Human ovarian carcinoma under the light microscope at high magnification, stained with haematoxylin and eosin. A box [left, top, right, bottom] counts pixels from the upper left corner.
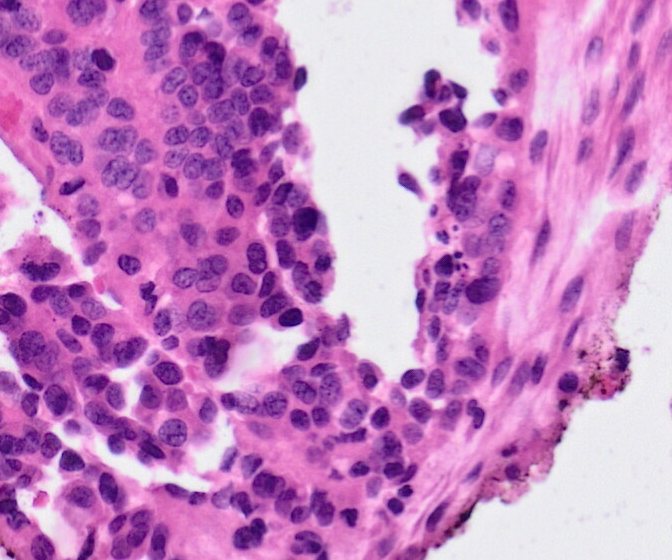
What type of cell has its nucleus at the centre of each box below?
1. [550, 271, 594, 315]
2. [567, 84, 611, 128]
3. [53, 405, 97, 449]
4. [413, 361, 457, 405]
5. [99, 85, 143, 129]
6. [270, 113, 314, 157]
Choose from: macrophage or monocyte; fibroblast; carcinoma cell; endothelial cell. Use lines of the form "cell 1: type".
cell 1: fibroblast
cell 2: fibroblast
cell 3: carcinoma cell
cell 4: carcinoma cell
cell 5: carcinoma cell
cell 6: carcinoma cell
